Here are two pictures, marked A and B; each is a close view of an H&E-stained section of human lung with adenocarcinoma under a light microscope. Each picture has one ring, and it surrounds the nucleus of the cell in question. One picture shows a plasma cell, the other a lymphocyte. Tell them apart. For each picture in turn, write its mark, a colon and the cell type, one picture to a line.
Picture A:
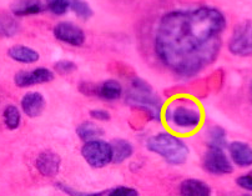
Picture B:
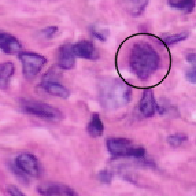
A: lymphocyte
B: plasma cell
